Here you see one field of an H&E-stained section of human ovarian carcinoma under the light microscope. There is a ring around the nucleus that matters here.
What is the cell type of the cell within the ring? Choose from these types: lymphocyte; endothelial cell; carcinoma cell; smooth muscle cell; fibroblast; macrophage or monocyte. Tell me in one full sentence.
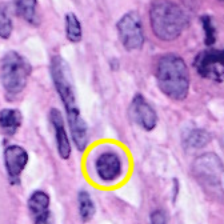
In this tissue section, the cell within the ring is to be classed as a lymphocyte.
